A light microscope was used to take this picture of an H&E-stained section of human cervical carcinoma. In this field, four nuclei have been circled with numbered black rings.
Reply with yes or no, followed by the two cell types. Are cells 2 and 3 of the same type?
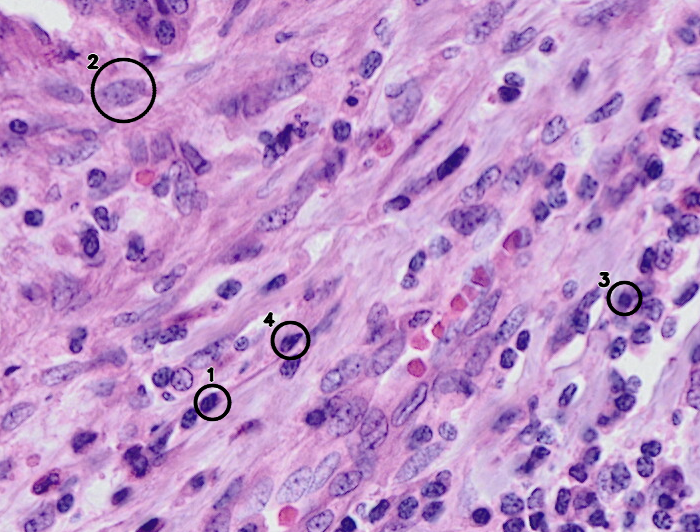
No, cell 2 is a fibroblast, while cell 3 is a lymphocyte.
